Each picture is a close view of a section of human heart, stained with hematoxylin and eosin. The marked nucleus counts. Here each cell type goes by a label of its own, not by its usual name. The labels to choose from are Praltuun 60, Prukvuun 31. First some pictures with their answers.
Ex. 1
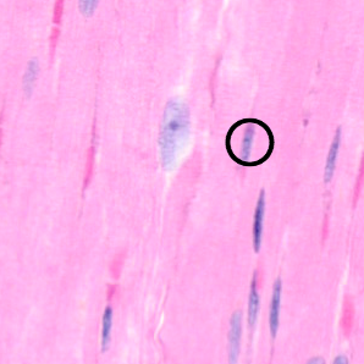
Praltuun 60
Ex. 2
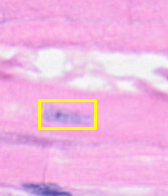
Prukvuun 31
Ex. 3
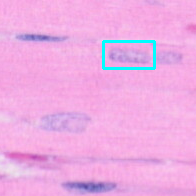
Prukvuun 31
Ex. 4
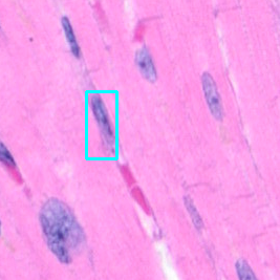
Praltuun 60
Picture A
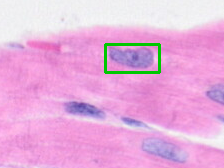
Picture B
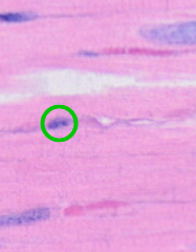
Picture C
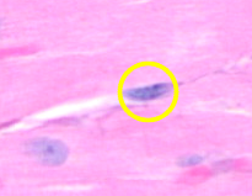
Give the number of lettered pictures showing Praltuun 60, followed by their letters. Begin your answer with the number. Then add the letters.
2: B, C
